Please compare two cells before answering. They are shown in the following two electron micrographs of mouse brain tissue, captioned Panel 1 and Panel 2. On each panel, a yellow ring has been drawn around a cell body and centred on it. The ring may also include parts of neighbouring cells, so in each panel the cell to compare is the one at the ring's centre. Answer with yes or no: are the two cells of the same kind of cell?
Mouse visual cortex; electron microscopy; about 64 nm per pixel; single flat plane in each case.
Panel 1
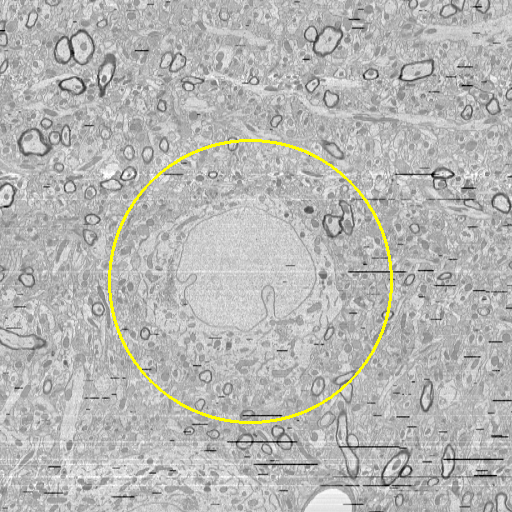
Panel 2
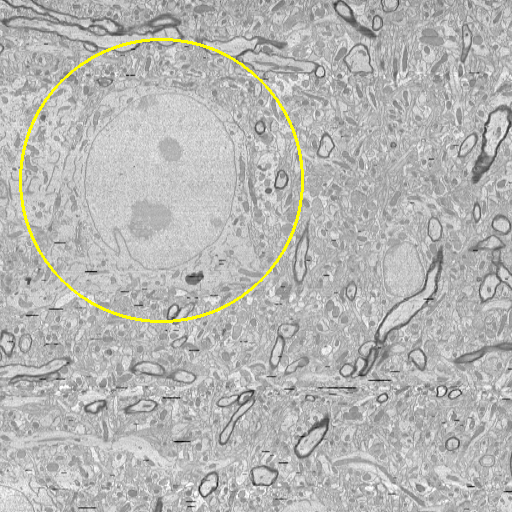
yes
